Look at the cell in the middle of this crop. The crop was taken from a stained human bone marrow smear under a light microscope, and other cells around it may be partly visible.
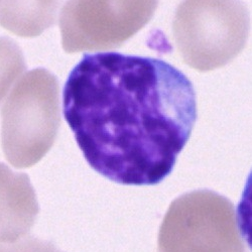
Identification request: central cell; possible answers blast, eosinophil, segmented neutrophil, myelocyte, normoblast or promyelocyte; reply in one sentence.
This particular crop is centered on a blast.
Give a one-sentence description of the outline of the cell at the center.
From every side, the cell boundary is smooth and free of projections.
